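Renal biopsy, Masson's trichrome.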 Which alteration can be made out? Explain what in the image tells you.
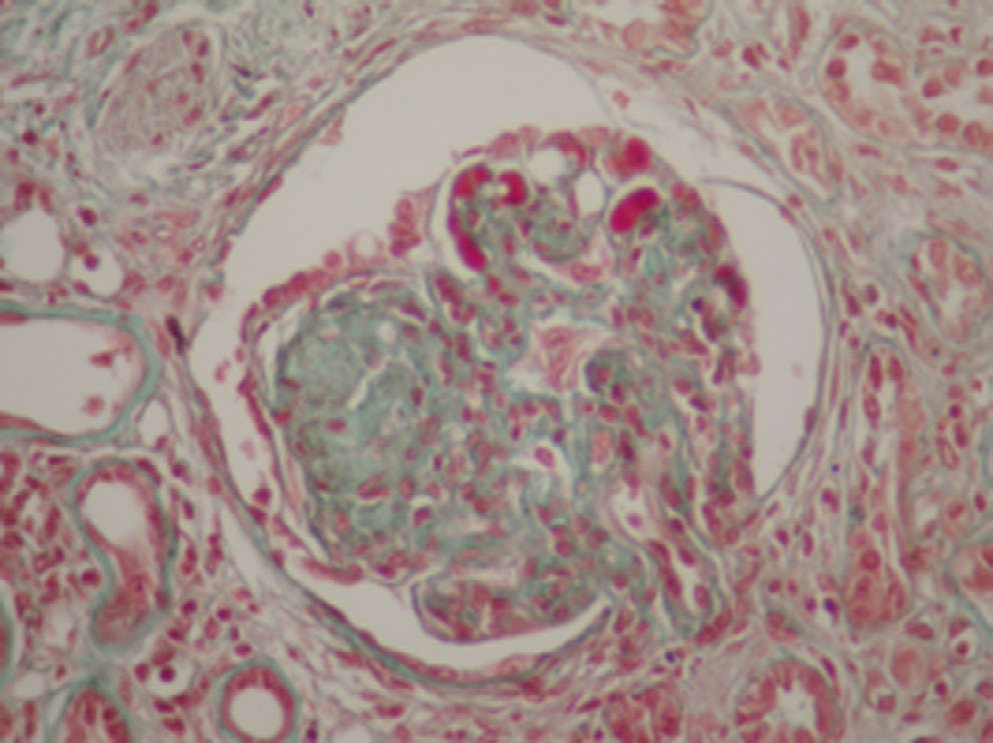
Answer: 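A glomerular tuft is expanded by rounded masses of green-staining matrix. Only a few open capillary loops, holding red erythrocytes, remain at the upper edge of the tuft. The glomerulus sits within a wide Bowman's space, surrounded by tubules.
Answer: Nodular glomerulosclerosis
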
